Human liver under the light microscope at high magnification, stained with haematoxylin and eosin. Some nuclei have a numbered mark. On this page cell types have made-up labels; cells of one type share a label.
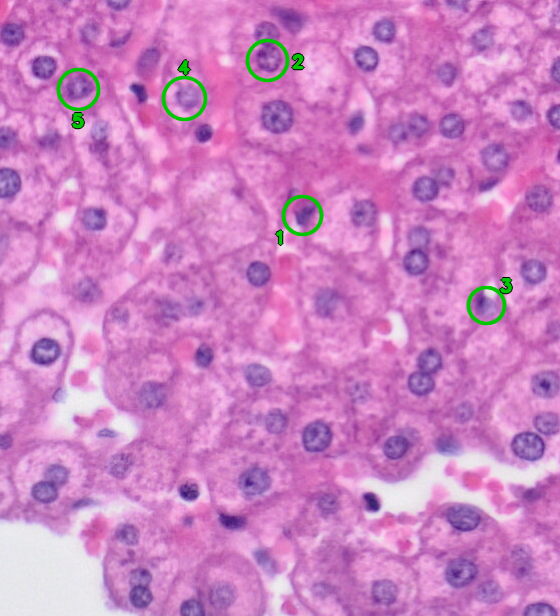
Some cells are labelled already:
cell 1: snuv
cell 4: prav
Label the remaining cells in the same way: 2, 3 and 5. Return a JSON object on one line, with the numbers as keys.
{"2": "prav", "3": "snuv", "5": "prav"}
